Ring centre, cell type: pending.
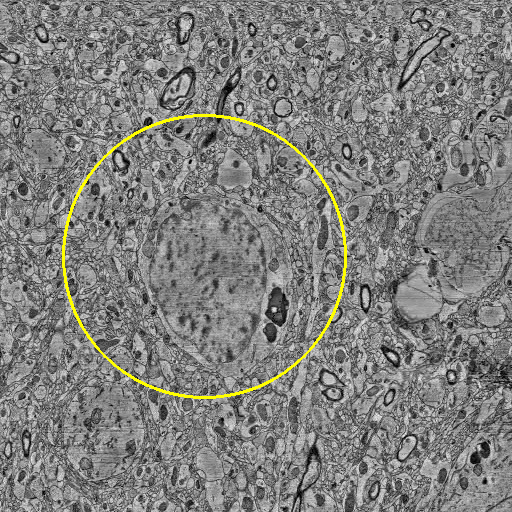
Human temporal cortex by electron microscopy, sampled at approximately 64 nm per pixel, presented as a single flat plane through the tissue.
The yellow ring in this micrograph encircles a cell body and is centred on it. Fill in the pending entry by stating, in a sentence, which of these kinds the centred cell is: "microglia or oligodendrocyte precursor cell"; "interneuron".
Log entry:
The centred cell is recorded as an interneuron.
